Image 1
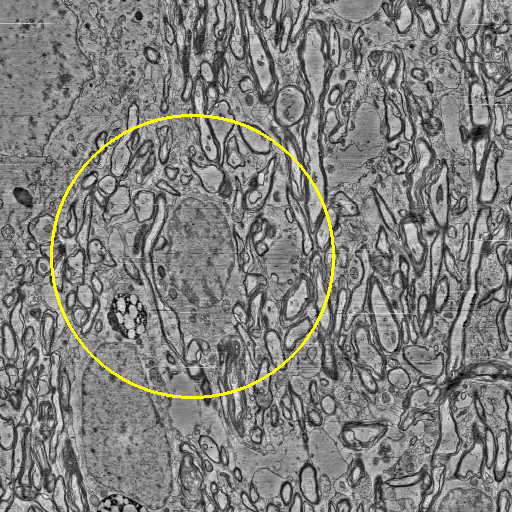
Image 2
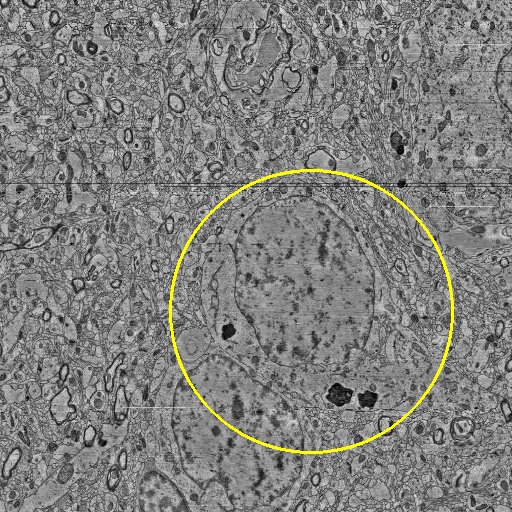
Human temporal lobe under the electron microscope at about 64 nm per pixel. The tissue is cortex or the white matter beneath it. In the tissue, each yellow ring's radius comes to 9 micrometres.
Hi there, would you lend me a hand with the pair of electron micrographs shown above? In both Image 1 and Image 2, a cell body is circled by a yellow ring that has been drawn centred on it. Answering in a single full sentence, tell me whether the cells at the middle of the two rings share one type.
No, the ringed cells in Image 1 and Image 2 belong to two types.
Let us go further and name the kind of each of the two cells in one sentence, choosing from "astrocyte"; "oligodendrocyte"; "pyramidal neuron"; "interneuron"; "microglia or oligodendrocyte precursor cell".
The ring of the first picture is on an oligodendrocyte, the ring of the second on a pyramidal neuron.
